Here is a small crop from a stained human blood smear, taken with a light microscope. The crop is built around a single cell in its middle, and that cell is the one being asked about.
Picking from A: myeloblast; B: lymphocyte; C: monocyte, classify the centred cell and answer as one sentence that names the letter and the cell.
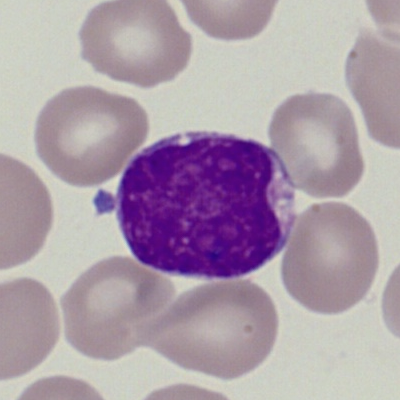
Occupying the middle of the crop is a myeloblast, hence option A is correct.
